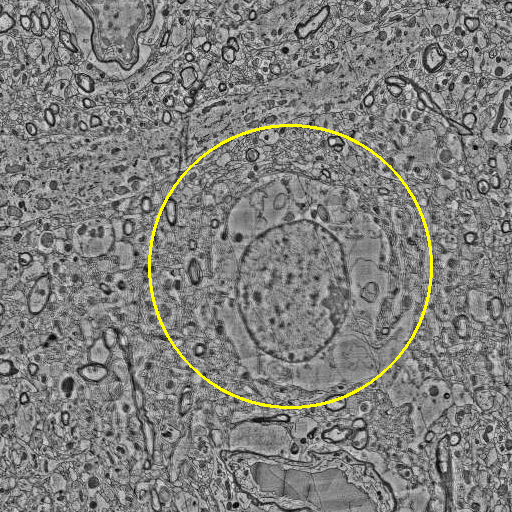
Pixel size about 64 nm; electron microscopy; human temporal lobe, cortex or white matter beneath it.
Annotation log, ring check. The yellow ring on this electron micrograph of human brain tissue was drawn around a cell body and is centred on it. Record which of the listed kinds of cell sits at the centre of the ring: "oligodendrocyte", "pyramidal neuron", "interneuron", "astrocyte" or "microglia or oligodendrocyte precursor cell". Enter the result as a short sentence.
The cell at the centre of the ring is an astrocyte.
